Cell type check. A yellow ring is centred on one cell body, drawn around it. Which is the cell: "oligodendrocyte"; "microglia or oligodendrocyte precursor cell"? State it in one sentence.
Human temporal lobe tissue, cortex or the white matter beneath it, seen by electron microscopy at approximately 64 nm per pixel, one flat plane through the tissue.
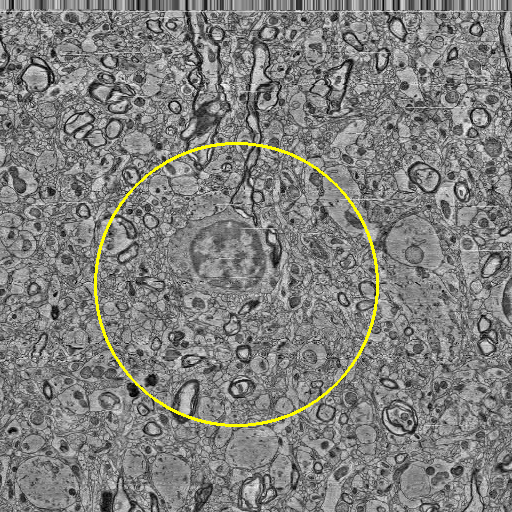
The cell body at the ring's centre belongs to an oligodendrocyte.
